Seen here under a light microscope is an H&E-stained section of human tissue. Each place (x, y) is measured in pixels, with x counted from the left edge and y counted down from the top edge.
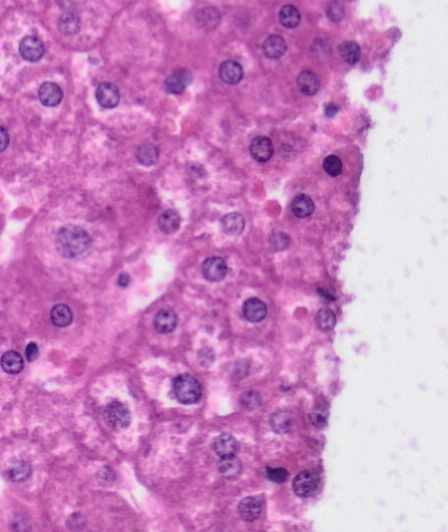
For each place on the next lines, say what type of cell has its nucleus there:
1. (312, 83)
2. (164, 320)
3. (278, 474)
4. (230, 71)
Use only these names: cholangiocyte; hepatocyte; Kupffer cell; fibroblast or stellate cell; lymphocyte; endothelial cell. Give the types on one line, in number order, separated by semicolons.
hepatocyte; hepatocyte; fibroblast or stellate cell; hepatocyte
